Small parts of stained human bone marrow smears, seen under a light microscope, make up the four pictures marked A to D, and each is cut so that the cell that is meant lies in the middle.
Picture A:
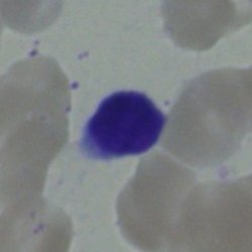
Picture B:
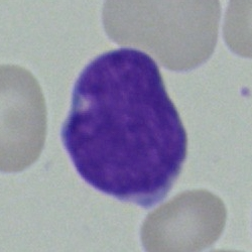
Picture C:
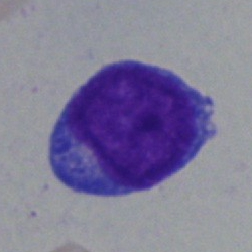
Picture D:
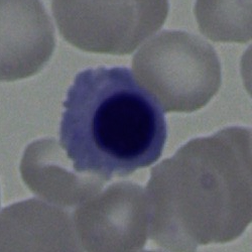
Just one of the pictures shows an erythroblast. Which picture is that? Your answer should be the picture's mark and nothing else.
D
